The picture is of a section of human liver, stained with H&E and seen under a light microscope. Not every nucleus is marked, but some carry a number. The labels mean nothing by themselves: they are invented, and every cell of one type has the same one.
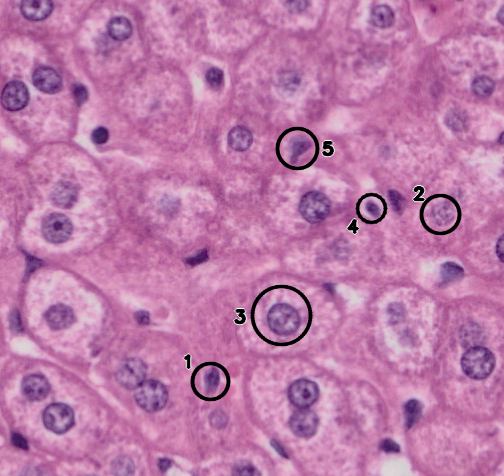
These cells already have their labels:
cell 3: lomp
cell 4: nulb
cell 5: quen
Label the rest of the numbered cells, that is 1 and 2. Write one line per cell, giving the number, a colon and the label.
1: quen
2: lomp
